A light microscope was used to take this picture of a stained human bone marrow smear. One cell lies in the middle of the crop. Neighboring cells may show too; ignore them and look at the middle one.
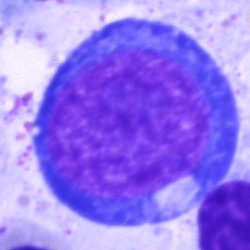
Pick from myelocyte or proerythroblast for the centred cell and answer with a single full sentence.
The middle position in this crop is taken by a proerythroblast.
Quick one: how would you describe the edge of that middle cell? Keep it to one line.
From every side, the cell boundary is smooth and free of projections.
